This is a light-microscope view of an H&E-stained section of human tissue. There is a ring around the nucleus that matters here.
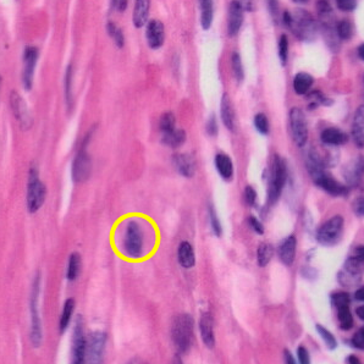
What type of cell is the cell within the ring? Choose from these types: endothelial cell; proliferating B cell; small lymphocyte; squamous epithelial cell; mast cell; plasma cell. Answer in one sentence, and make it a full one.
In the tissue under study, the cell within the ring is a mast cell.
